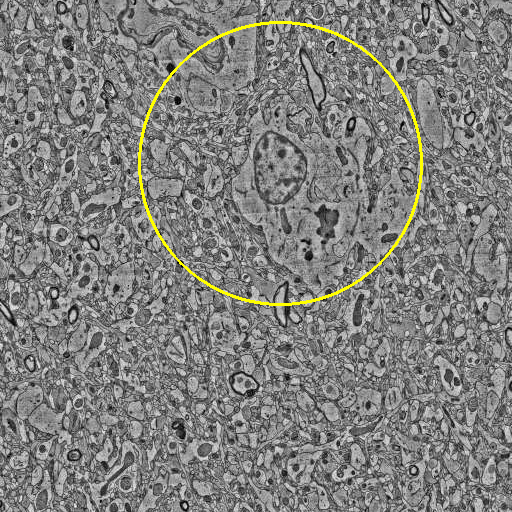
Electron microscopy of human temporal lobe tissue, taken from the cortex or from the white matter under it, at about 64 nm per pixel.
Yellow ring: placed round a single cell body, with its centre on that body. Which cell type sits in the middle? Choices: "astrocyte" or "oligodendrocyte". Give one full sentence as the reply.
It is an astrocyte whose cell body sits at the centre of the yellow ring.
